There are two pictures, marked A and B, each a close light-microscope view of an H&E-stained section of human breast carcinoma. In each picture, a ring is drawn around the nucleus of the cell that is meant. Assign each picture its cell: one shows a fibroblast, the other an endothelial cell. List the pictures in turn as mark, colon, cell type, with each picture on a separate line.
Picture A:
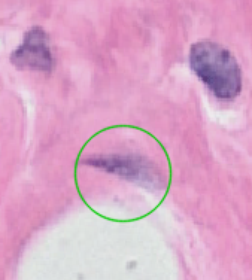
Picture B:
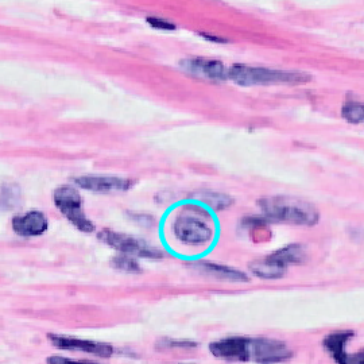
A: fibroblast
B: endothelial cell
